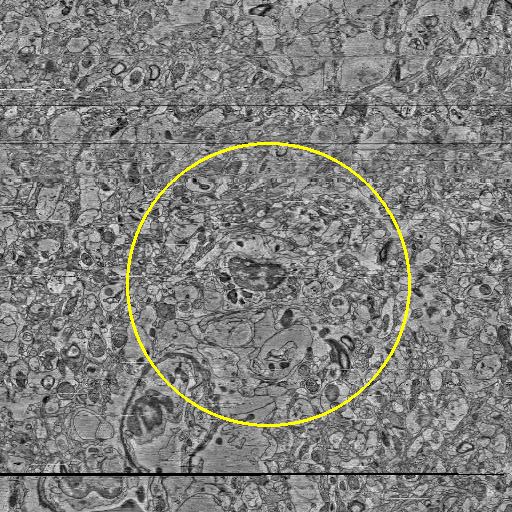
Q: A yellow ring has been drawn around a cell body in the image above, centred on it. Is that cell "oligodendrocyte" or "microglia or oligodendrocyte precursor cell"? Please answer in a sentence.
The ring surrounds the cell body of a microglial cell or oligodendrocyte precursor cell.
